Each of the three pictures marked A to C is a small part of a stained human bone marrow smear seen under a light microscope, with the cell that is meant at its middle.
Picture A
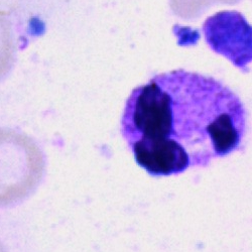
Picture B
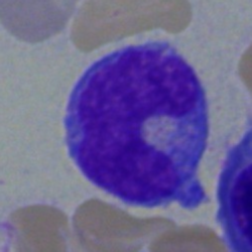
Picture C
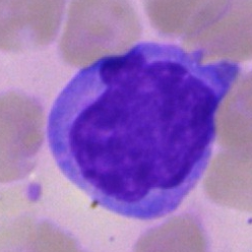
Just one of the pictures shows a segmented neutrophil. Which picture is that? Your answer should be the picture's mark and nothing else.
A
